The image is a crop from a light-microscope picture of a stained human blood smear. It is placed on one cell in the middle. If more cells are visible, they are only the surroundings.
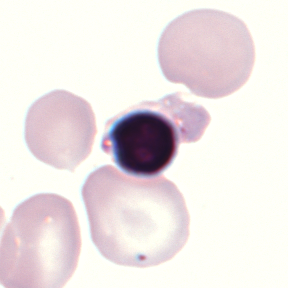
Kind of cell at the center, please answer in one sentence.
The middle cell in this particular crop is an erythroblast.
